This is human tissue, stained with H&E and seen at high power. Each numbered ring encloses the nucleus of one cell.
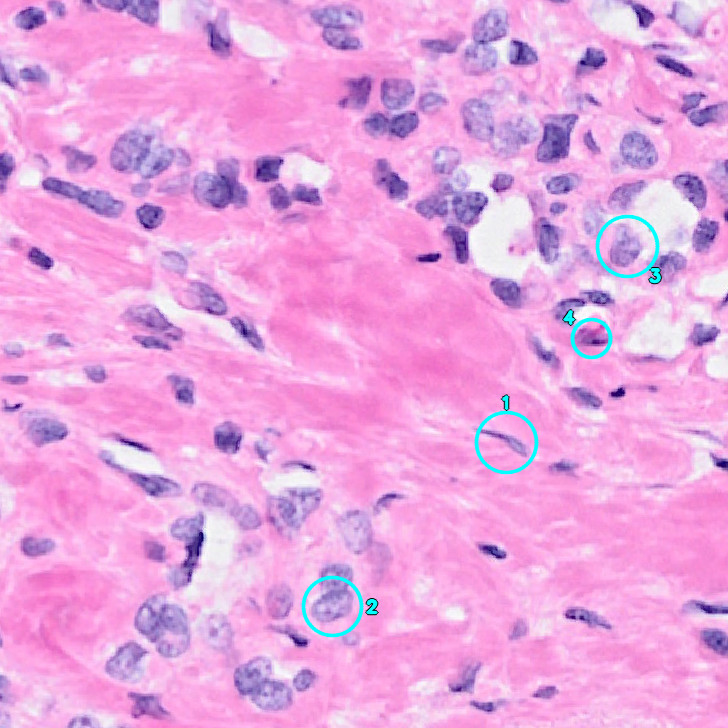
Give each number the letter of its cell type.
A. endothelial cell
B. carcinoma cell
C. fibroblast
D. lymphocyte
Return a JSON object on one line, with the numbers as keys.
{"1": "C", "2": "B", "3": "B", "4": "A"}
